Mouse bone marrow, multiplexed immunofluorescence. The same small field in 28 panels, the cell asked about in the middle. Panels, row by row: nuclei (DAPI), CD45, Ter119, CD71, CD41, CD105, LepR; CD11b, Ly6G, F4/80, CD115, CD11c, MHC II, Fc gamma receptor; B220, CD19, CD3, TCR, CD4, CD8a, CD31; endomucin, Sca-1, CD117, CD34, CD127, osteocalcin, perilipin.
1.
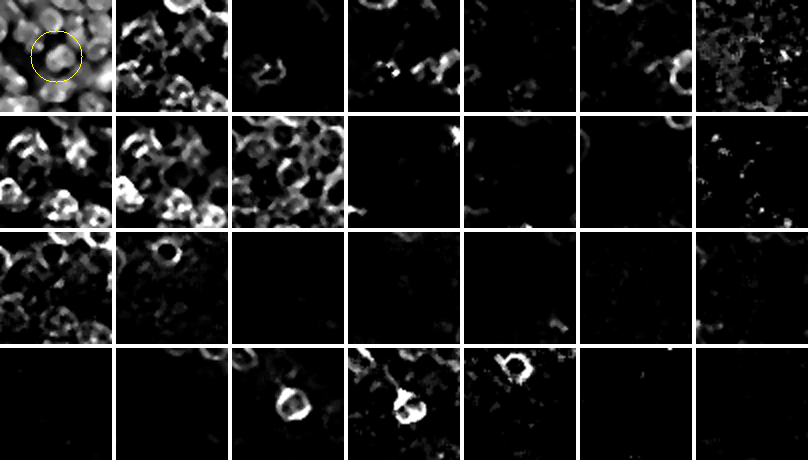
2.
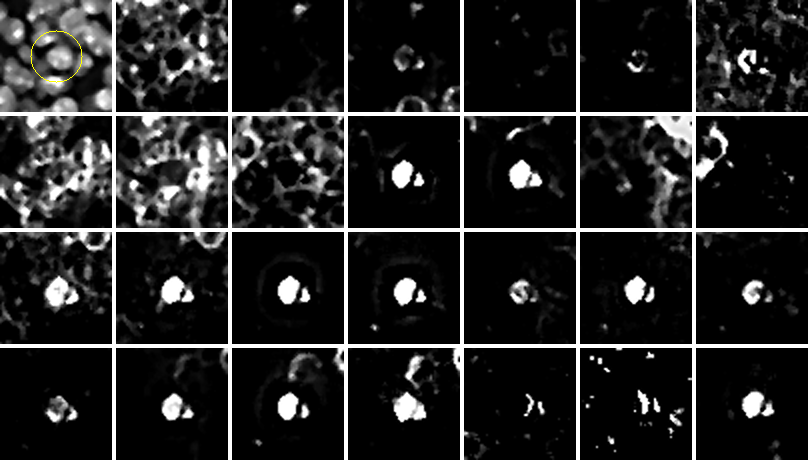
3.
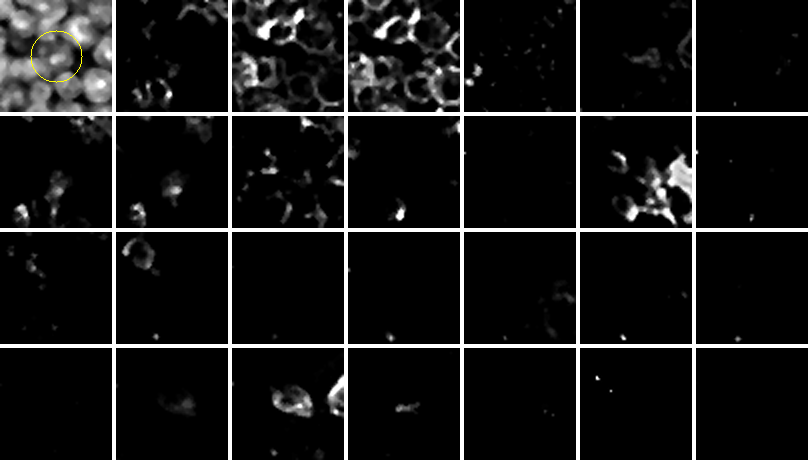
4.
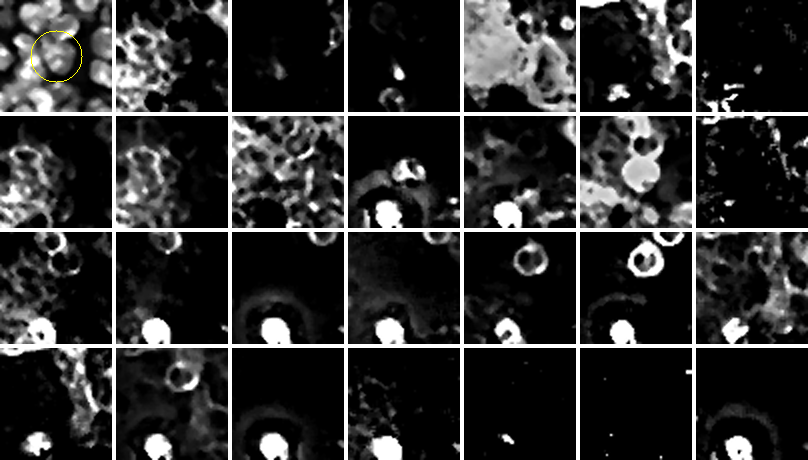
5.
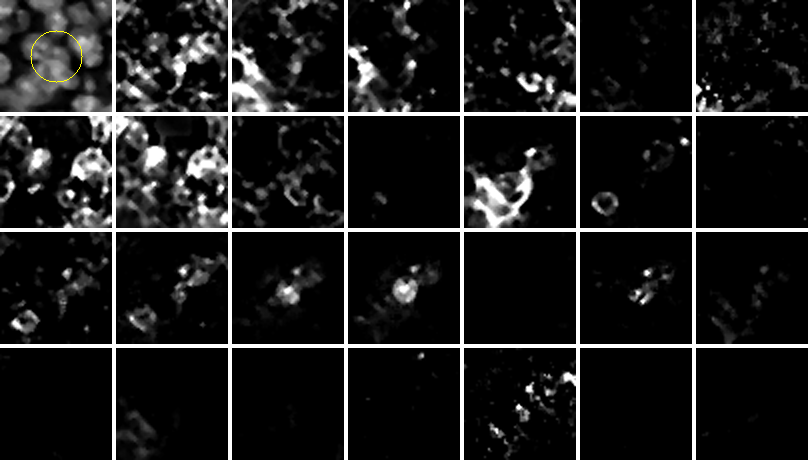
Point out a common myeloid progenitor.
That is picture 1.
